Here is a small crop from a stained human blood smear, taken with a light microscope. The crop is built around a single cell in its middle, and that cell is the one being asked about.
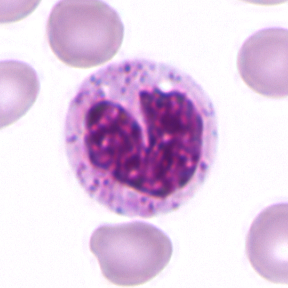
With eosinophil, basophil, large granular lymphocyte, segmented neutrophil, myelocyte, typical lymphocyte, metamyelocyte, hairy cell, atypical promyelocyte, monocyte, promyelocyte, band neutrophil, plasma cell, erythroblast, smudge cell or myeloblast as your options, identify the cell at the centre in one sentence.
Positioned in the middle of the crop is a band neutrophil.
